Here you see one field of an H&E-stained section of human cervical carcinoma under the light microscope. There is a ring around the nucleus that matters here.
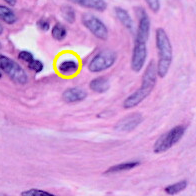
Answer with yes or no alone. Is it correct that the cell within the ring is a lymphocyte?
no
